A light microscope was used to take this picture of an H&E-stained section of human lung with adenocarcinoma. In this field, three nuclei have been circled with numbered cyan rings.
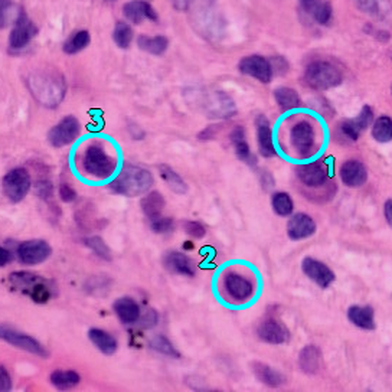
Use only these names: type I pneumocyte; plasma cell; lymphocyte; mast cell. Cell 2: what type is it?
plasma cell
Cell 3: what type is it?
plasma cell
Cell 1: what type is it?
lymphocyte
